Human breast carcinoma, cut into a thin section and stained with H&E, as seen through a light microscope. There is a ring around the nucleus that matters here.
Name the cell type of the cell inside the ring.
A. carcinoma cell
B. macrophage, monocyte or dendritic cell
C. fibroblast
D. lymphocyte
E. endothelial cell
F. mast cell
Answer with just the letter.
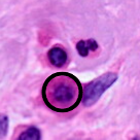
F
